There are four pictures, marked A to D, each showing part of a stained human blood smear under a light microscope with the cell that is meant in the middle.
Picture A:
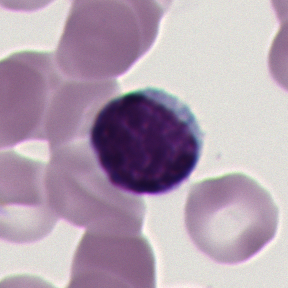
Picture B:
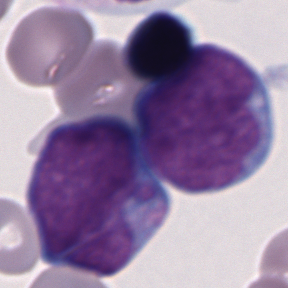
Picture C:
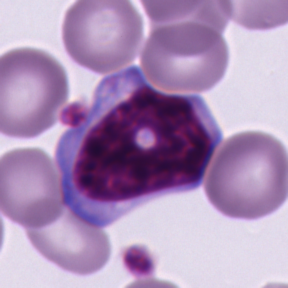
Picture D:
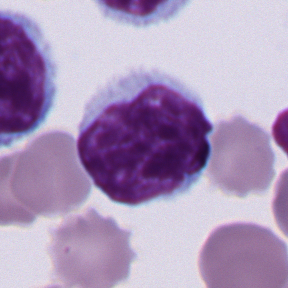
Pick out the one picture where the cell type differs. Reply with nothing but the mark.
B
